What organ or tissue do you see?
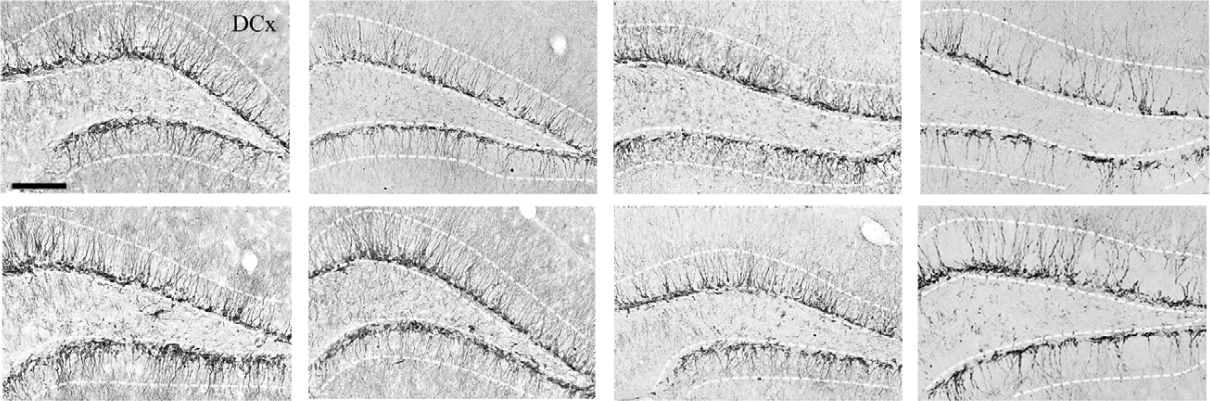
Dentate gyrus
